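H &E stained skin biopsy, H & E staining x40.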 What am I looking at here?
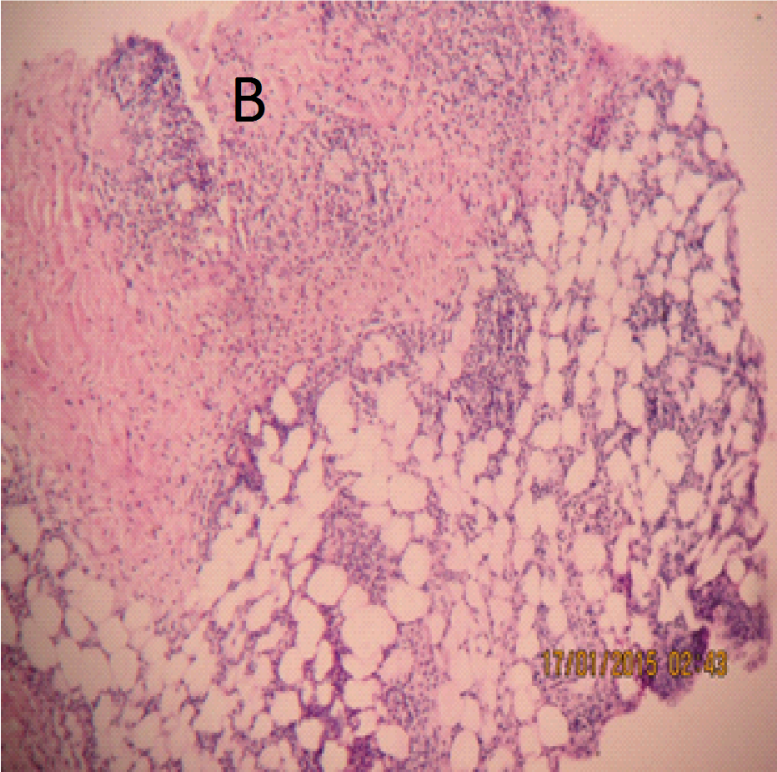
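Pink dermal collagen at upper left borders subcutaneous fat made of large, clear, rounded adipocytes. Numerous small inflammatory cells with dark-blue nuclei crowd between the fat cells within the lobules and form denser aggregates at the junction with the dermis.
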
